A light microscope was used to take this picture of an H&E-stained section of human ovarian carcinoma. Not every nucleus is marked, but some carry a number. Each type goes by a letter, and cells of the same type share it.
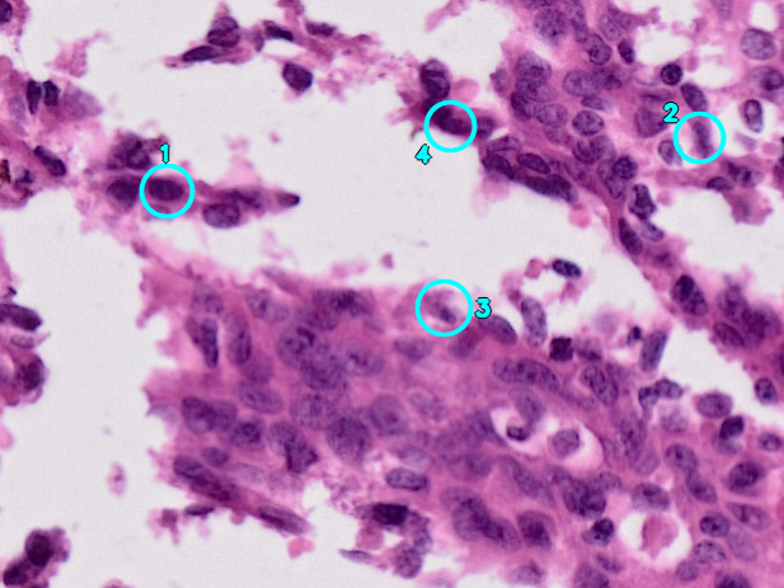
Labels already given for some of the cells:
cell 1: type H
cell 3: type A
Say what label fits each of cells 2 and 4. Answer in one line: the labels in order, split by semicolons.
type H; type H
